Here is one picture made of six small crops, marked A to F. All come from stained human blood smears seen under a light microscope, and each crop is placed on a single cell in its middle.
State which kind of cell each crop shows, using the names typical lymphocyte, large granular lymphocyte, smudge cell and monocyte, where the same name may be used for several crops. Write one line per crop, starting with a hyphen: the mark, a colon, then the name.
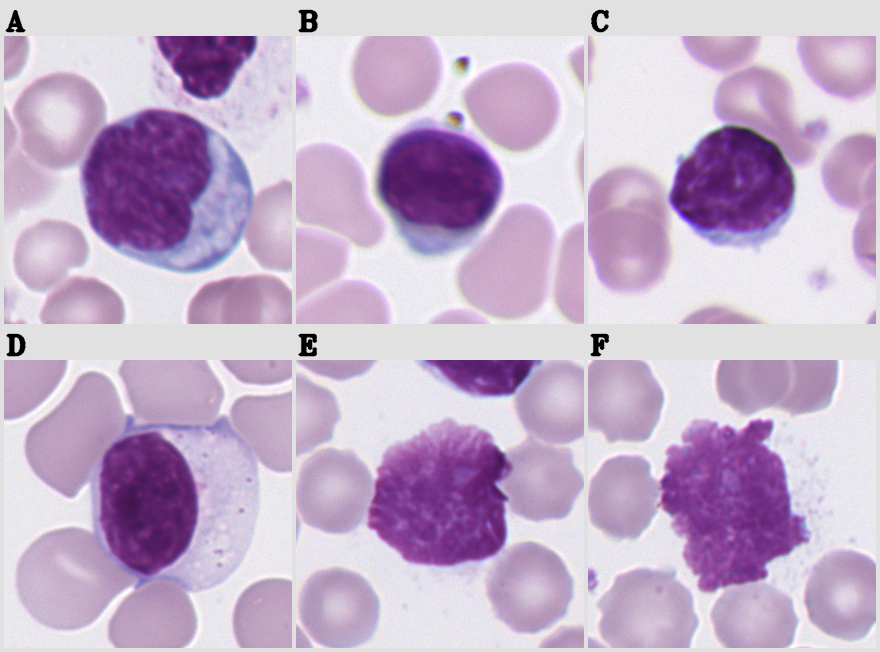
- A: monocyte
- B: typical lymphocyte
- C: typical lymphocyte
- D: large granular lymphocyte
- E: smudge cell
- F: smudge cell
